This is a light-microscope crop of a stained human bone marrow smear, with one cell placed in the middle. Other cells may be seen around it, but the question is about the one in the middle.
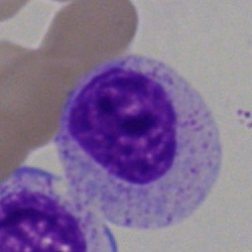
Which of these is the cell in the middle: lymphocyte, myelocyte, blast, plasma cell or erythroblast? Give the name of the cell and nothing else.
myelocyte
